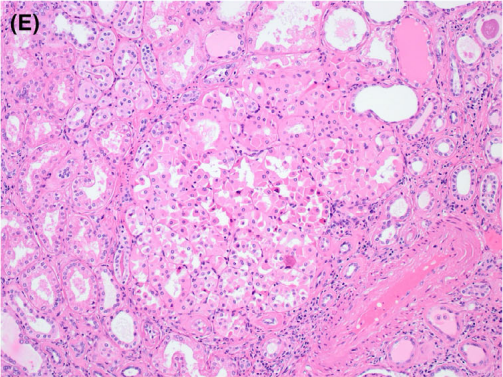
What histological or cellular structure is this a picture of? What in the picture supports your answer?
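Microscopic foci of oncocytic cells. A rounded cluster of pink cells lies in the middle of the field. Normal-looking renal tubules and a vessel surround the cluster.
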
